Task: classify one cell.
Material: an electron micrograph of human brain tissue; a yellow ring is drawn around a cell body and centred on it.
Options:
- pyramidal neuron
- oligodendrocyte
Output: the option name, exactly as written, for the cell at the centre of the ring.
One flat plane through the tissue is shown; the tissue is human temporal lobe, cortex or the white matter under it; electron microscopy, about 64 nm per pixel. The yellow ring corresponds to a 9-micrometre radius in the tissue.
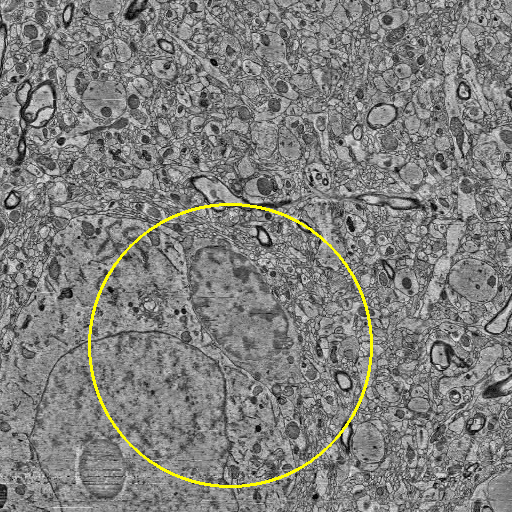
oligodendrocyte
